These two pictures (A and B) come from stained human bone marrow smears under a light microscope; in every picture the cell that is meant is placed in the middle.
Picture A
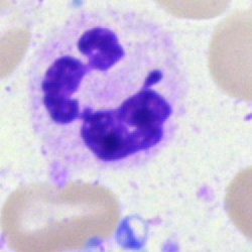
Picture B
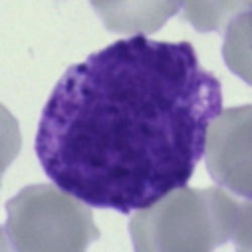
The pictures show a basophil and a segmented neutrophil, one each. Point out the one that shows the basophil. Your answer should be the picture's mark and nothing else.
B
